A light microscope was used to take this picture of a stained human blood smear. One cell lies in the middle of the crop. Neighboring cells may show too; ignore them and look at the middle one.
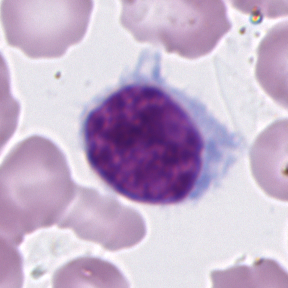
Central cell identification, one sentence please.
By type, the central cell of the crop is a hairy cell.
